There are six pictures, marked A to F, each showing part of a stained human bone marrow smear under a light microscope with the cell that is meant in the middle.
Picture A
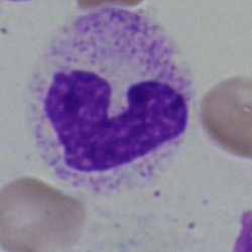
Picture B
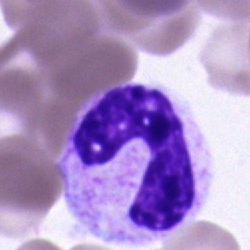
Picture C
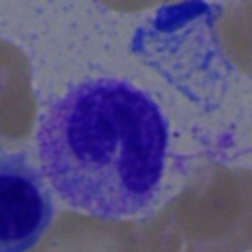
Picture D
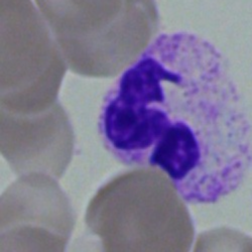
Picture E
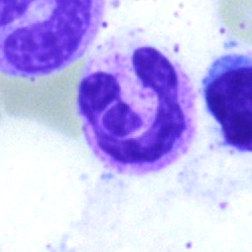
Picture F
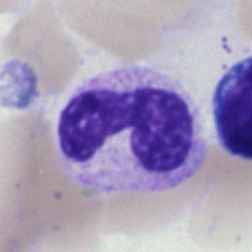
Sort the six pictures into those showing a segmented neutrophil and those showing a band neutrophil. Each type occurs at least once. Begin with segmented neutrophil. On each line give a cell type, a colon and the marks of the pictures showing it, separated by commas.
segmented neutrophil: D, E
band neutrophil: A, B, C, F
